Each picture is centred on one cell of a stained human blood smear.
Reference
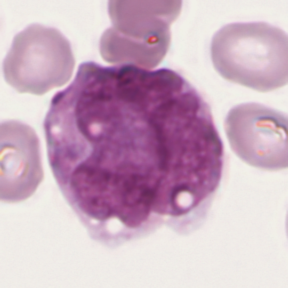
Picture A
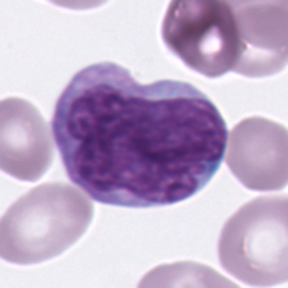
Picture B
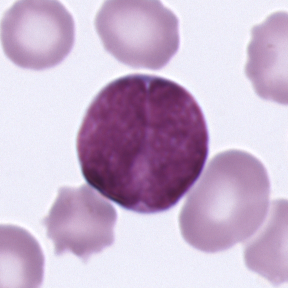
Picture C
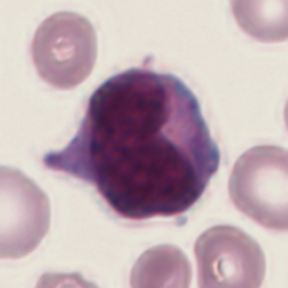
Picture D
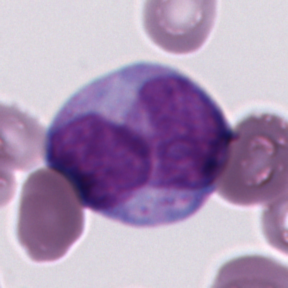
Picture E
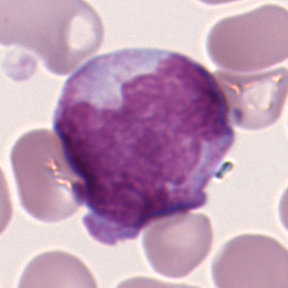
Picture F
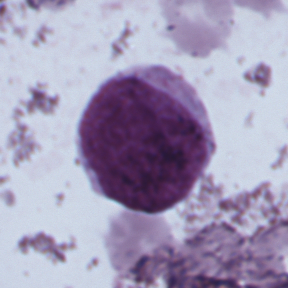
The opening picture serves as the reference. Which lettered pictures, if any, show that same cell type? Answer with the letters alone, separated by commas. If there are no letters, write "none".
A, C, D, E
